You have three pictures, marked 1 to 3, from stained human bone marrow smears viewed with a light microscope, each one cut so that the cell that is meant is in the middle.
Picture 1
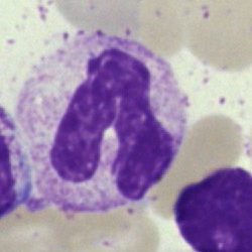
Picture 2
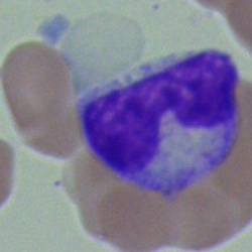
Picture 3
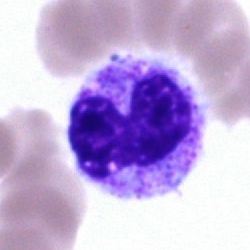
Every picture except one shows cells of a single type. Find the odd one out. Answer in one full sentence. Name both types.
The different one is picture 2; it shows a metamyelocyte, whereas all the others show band neutrophils.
